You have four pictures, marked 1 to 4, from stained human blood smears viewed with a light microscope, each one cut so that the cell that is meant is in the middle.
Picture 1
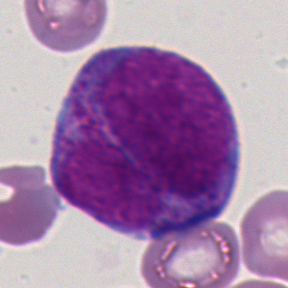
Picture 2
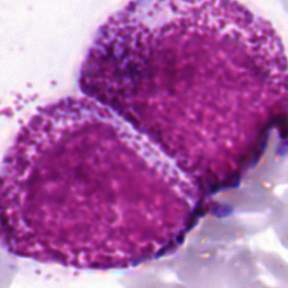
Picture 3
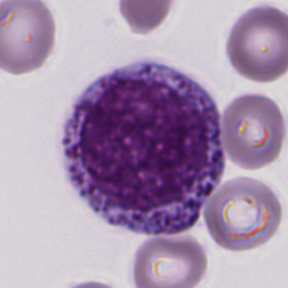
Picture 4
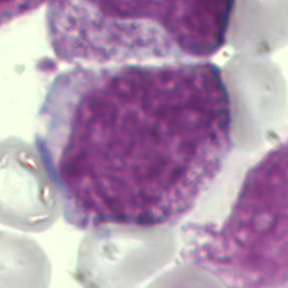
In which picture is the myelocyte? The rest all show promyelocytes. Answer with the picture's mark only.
3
